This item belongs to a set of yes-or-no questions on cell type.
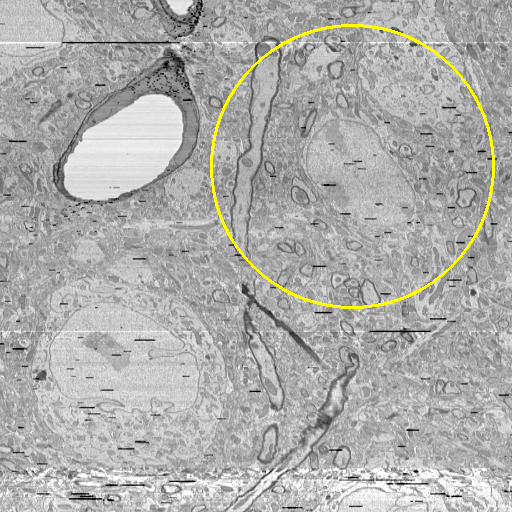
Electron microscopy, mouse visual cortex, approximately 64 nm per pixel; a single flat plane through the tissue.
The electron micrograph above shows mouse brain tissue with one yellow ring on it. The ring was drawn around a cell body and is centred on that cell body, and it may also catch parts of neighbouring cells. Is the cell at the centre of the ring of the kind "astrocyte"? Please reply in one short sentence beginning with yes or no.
Yes, that cell is of the named kind.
